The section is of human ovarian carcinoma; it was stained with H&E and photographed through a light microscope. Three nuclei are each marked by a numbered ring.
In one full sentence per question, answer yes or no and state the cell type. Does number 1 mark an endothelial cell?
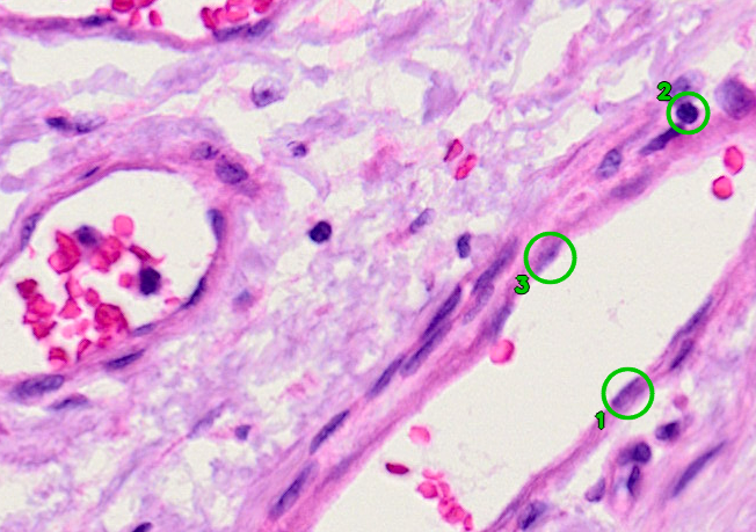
Yes, the nucleus numbered 1 belongs to an endothelial cell.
